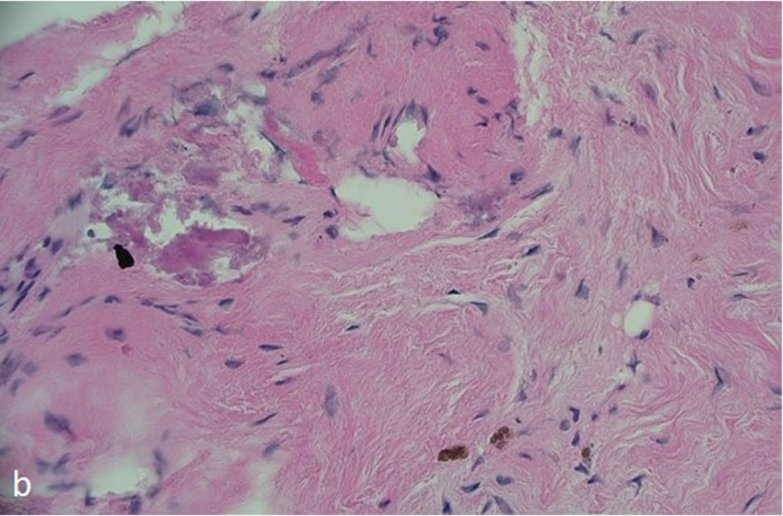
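This tissue is a bland fibrous infiltrate with few cells and no giant cells. Most of the field is made of pink, wavy collagen bundles running in different directions. Scattered among the fibres are sparse cells with thin, elongated, spindle-shaped dark nuclei and inconspicuous cytoplasm. No multinucleated cells are seen, and nuclei show no crowding. A few small clear spaces lie within the fibrous tissue, and some small brown granular deposits are present near the lower part of the field, with a darker irregular fragment in the upper left. The overall appearance is of calm, paucicellular connective tissue.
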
